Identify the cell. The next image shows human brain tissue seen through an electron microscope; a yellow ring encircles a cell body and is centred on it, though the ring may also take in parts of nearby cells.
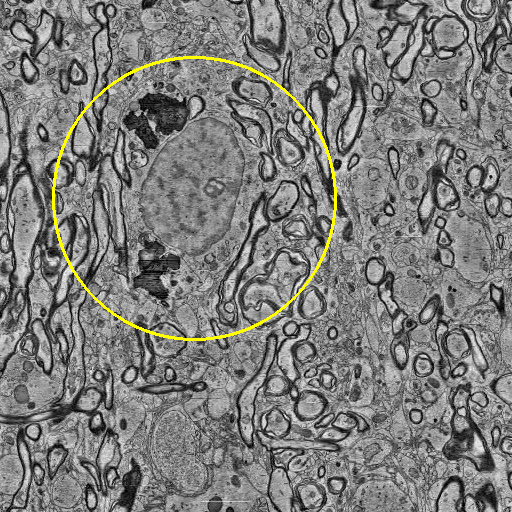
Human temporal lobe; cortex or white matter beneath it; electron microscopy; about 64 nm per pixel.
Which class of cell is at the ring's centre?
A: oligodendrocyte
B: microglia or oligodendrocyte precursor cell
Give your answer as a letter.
A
